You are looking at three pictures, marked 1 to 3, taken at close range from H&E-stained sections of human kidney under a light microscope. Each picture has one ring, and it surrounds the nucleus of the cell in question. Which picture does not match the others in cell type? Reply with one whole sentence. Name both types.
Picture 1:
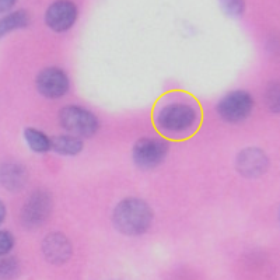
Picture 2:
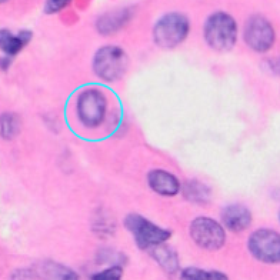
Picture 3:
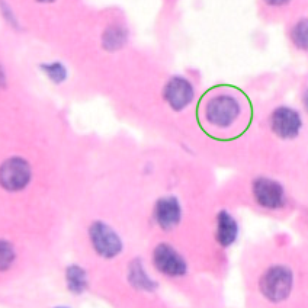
Unlike the rest, which show “loop of Henle or distal tubule cells”, picture 2 shows a collecting duct cell.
